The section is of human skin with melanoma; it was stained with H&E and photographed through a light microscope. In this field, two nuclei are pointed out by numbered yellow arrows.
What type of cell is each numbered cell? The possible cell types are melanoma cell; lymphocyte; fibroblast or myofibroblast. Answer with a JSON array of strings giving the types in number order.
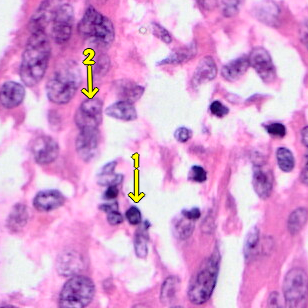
["lymphocyte", "melanoma cell"]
